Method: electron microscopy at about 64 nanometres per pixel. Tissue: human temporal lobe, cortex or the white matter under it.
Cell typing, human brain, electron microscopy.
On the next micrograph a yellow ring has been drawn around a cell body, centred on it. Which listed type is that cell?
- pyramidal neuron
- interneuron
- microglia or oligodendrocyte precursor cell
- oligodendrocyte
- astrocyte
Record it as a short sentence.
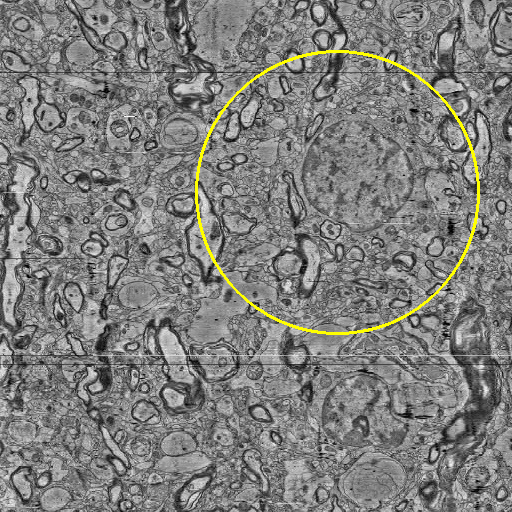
The cell body in the ring's centre belongs to an oligodendrocyte.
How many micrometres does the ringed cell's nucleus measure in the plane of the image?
The nucleus of the ringed cell is approximately 7 micrometres across in this plane.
